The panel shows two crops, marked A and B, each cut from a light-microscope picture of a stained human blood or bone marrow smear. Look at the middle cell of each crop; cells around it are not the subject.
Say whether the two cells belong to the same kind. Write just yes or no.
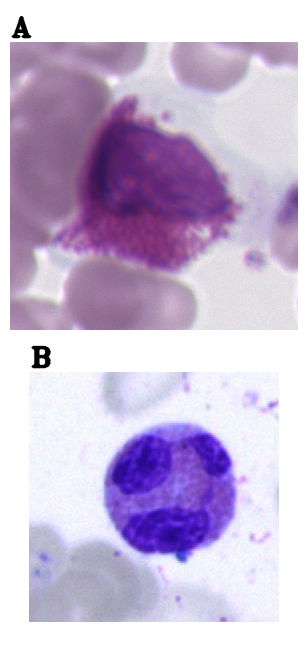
yes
